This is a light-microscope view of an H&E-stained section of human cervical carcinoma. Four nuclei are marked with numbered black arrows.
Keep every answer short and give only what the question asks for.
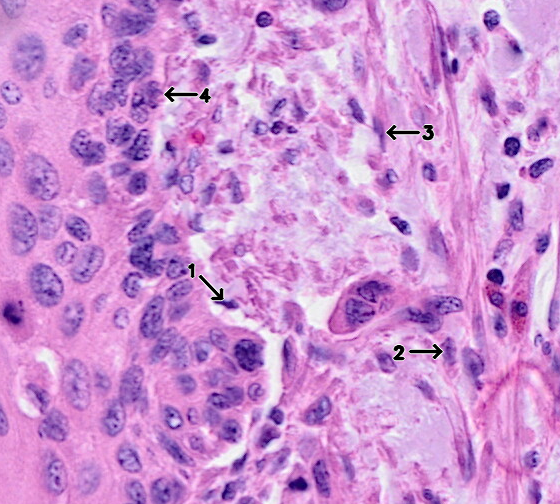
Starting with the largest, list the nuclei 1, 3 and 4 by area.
4, 3, 1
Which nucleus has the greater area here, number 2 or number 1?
2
